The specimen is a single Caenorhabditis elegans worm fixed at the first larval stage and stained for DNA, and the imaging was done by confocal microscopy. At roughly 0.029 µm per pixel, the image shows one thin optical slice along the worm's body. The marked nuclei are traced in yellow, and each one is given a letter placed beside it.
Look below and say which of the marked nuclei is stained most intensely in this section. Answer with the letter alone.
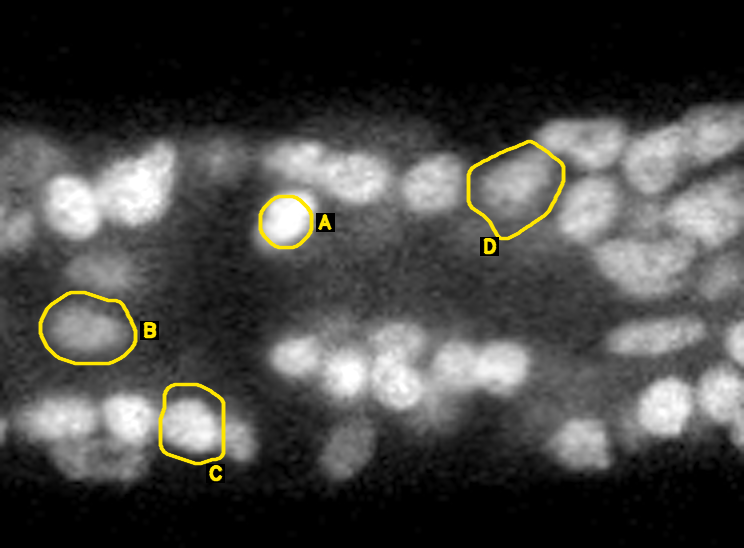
A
